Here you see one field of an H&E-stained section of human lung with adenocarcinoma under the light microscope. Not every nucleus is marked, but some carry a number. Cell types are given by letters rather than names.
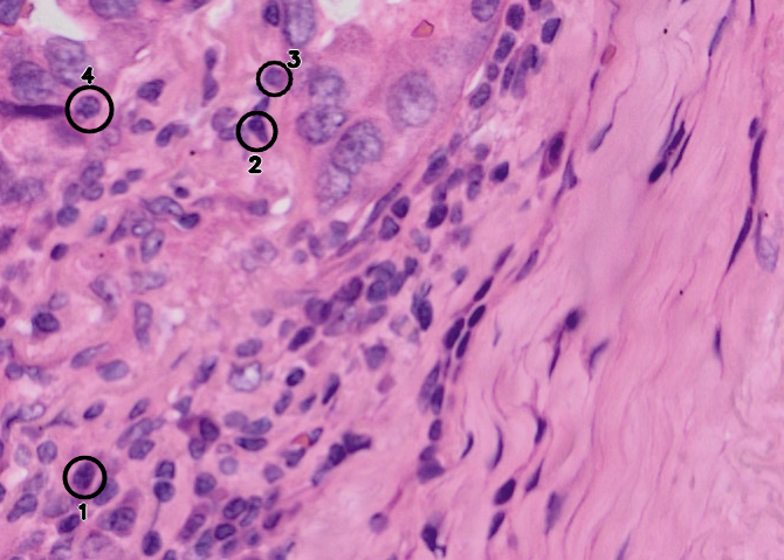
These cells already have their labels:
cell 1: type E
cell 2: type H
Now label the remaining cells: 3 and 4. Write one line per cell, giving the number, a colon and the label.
3: type H
4: type H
